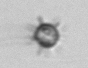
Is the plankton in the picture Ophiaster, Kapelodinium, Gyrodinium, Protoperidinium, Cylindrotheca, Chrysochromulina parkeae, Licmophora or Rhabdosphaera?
It is Rhabdosphaera.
